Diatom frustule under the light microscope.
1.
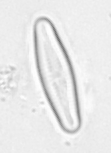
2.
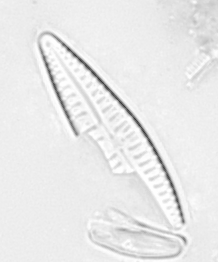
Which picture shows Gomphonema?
Picture 2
